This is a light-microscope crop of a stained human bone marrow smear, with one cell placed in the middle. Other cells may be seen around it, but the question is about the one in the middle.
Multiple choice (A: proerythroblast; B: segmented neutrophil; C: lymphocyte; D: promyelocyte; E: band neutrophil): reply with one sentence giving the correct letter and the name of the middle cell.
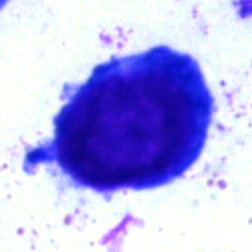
The centrally located cell is a proerythroblast, making option A the correct choice.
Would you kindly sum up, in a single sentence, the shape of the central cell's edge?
Because its outline is ragged or drawn out into projections, the cell lacks a smooth border.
